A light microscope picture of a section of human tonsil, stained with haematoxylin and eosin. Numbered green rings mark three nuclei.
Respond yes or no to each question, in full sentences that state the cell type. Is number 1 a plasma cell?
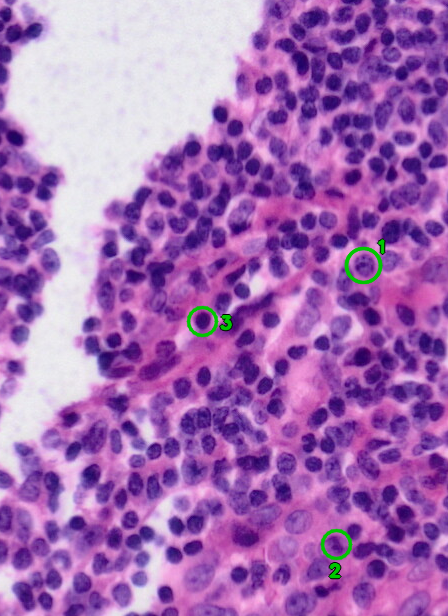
Yes, for number 1, the cell is a plasma cell.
